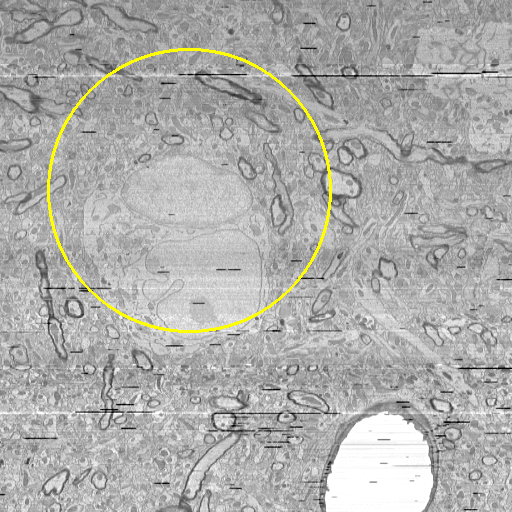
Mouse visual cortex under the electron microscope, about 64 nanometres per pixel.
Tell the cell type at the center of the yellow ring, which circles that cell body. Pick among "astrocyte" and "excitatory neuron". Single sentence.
The ring is centered on the body of an astrocyte.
